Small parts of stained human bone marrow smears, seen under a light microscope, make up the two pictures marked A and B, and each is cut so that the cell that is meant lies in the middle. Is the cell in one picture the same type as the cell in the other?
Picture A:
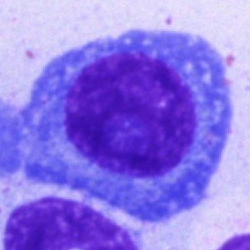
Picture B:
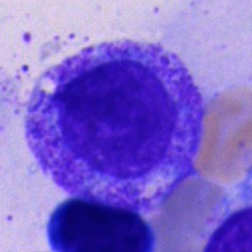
no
